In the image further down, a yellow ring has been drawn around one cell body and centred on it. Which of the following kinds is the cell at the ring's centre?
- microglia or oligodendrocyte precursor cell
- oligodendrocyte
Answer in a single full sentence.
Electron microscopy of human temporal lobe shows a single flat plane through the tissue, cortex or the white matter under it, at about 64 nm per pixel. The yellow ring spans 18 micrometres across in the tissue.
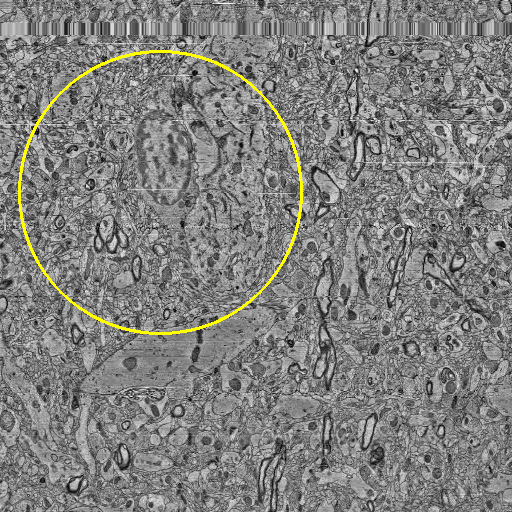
In the picture, the cell sitting at the centre of the yellow ring is an oligodendrocyte.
